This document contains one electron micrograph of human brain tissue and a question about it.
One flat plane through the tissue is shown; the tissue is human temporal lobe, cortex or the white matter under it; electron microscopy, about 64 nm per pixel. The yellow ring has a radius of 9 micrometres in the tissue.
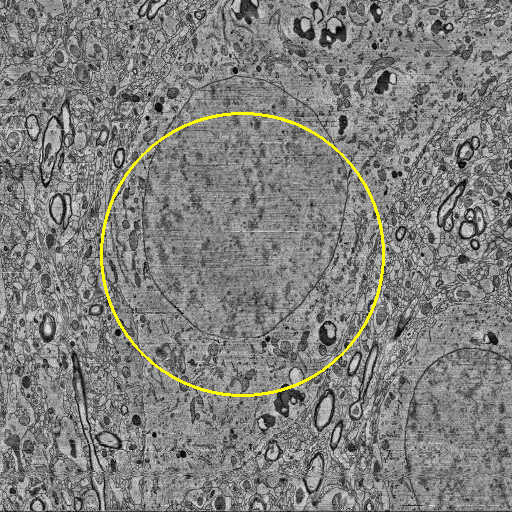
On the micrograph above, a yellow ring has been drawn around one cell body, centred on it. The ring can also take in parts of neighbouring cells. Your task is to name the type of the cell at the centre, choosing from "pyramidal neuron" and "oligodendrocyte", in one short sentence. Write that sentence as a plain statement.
Here the ring is centred on a pyramidal neuron.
